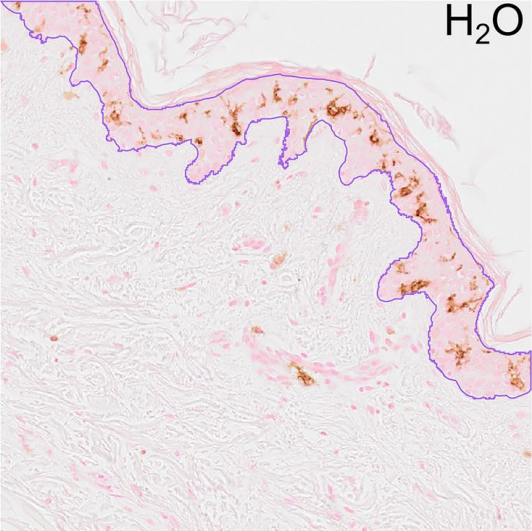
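Skin with an undulating epidermis outlined in purple above fibrous dermis containing small vessels. Brown-stained cells with dendritic processes are spread along the epidermis, and occasional brown cells sit in the dermis.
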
